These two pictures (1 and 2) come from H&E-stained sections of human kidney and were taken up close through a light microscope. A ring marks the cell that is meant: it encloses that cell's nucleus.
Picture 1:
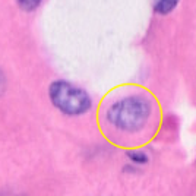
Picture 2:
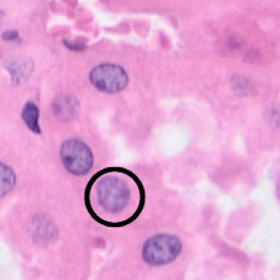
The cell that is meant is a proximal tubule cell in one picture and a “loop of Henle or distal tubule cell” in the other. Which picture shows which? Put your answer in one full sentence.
In picture 1 the cell is a “loop of Henle or distal tubule cell”; in picture 2, a proximal tubule cell.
